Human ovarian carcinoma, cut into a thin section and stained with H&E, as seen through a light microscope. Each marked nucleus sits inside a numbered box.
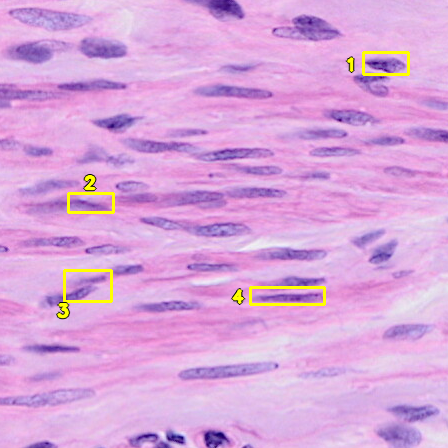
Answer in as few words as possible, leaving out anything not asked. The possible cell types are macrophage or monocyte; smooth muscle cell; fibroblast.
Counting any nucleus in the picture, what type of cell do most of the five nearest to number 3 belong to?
smooth muscle cell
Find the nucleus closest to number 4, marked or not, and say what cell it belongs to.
smooth muscle cell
